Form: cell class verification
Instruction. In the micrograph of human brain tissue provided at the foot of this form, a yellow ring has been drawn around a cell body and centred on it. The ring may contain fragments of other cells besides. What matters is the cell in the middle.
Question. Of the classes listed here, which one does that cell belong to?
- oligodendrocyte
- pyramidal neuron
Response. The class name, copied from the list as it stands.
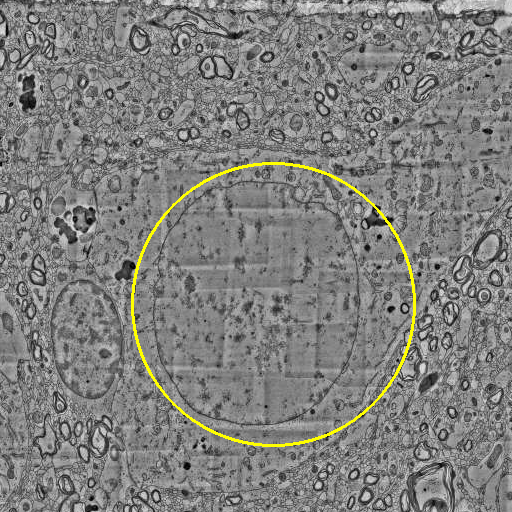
pyramidal neuron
